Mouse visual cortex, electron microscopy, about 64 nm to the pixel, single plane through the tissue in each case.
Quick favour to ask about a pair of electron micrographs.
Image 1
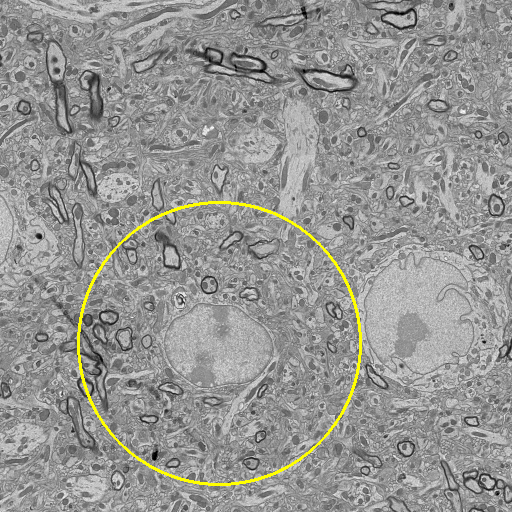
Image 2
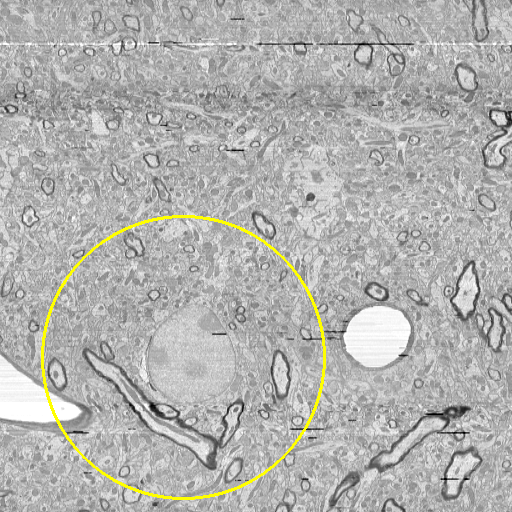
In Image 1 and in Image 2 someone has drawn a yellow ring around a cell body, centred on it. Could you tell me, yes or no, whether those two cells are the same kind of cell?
yes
